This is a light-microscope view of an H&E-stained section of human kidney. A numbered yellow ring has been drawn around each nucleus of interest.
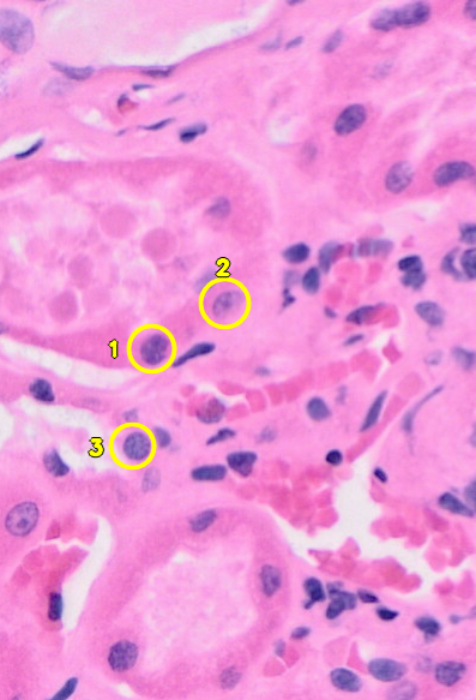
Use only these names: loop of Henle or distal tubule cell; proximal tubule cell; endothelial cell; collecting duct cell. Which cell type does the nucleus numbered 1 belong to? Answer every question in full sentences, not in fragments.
The nucleus labelled 1 belongs to a proximal tubule cell.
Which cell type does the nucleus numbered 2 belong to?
In this section, the cell numbered 2 is a proximal tubule cell.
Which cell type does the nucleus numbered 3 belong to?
The cell identified by number 3 is a loop of Henle or distal tubule cell.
